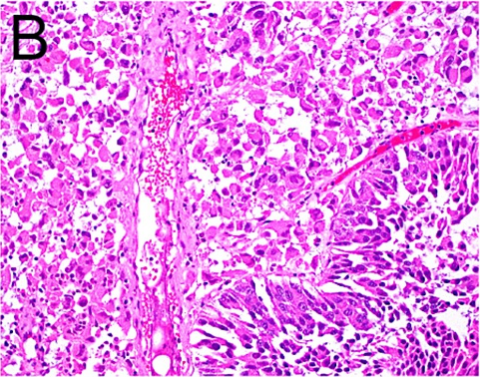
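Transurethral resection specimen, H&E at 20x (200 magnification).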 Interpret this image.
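At the upper left, tumour cells lie loosely and singly, with eccentric dark nuclei and abundant pink cytoplasm, giving a plasmacytoid appearance. At the lower right, tumour cells are more cohesive, forming crowded groups of elongated cells with large purple nuclei, the conventional pattern.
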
